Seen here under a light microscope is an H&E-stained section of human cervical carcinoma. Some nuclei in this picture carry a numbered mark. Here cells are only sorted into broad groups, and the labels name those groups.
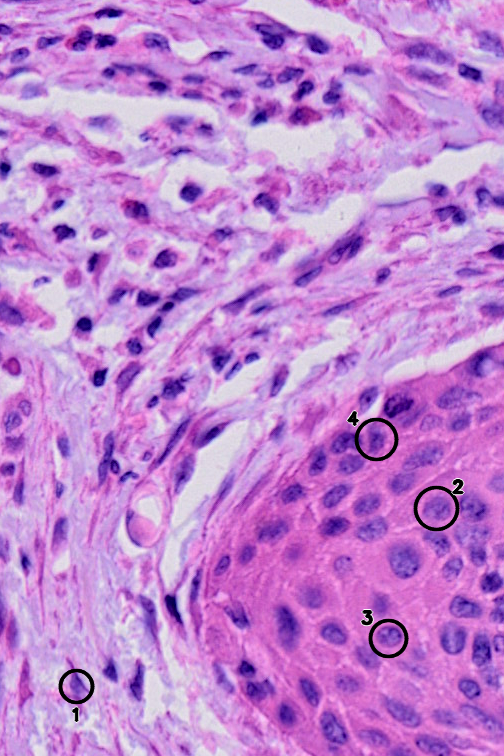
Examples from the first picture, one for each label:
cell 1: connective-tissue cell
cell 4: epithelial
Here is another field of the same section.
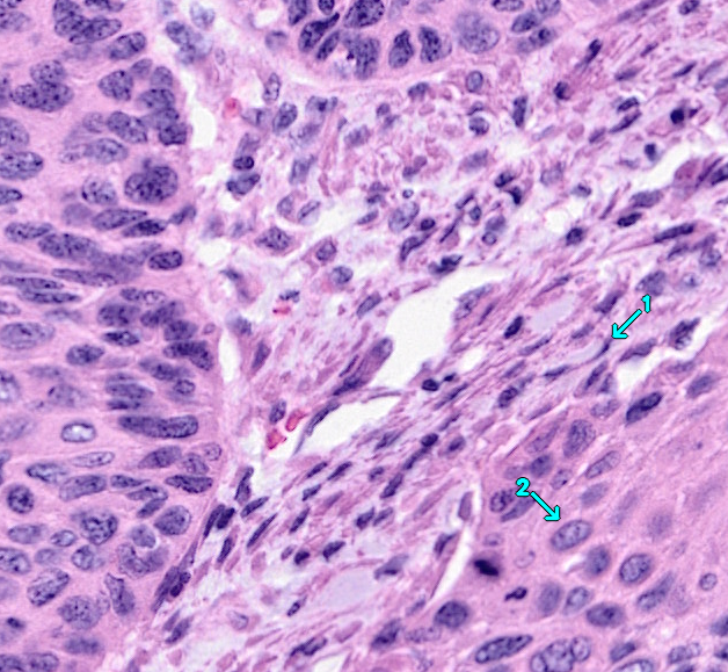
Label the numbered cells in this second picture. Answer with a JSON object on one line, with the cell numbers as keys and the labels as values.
{"1": "connective-tissue cell", "2": "epithelial"}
